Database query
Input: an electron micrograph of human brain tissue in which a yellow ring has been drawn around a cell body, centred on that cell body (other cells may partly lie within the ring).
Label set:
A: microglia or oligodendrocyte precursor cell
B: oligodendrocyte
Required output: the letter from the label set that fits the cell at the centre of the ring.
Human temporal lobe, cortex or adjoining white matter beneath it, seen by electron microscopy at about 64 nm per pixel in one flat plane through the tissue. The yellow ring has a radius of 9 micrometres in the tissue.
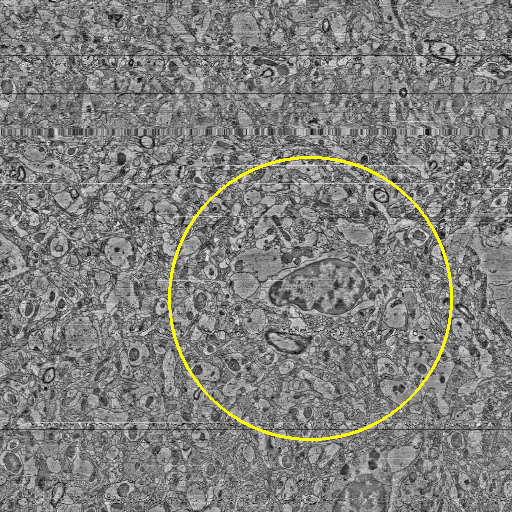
A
